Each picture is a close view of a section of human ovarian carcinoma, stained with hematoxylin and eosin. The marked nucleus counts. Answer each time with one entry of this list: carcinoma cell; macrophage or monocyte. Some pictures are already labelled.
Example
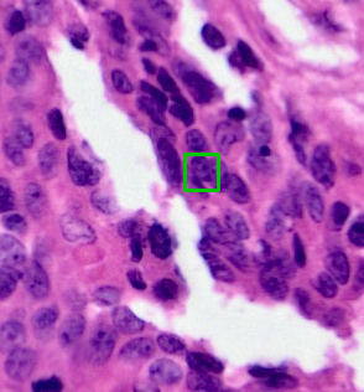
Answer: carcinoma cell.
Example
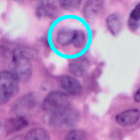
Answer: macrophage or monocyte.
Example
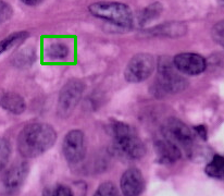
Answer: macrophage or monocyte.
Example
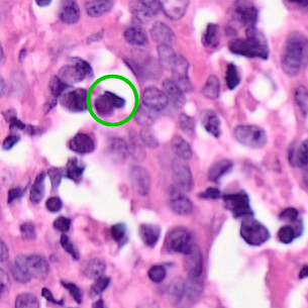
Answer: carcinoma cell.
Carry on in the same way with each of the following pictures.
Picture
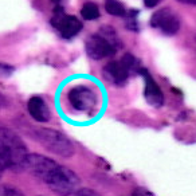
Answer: macrophage or monocyte.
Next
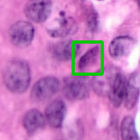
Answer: carcinoma cell.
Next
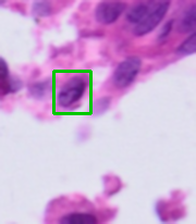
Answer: macrophage or monocyte.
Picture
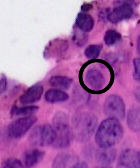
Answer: carcinoma cell.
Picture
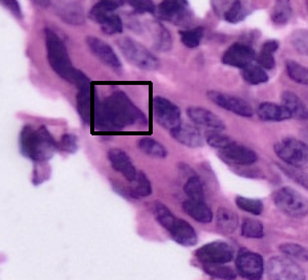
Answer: carcinoma cell.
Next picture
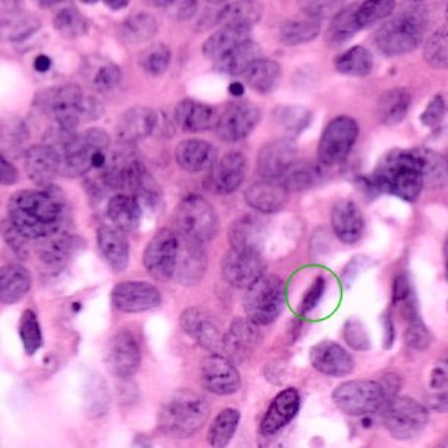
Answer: carcinoma cell.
